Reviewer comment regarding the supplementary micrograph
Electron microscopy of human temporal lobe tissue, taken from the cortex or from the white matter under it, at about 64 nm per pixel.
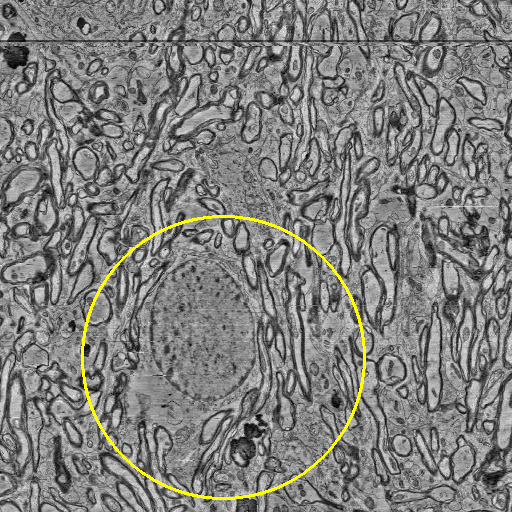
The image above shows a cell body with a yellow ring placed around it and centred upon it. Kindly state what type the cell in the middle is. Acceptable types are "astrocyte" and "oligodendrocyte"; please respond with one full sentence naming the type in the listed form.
In the image above, the cell on which the yellow ring is centred is an astrocyte.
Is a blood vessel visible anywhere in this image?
No, none shows.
